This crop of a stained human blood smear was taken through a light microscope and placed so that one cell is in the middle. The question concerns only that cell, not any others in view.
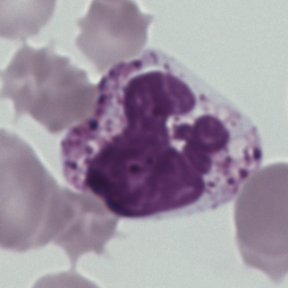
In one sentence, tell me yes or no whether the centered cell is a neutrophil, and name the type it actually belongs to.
No, the central cell is not a neutrophil; it is a basophil.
